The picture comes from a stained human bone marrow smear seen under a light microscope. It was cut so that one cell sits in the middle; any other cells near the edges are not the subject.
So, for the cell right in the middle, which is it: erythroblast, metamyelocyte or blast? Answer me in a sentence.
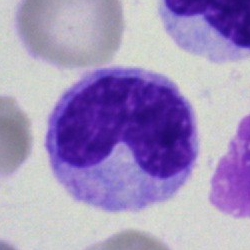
This crop's central cell is a metamyelocyte.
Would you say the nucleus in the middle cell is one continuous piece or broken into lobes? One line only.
The nuclear material is gathered into one compact round, oval or kidney-shaped mass.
